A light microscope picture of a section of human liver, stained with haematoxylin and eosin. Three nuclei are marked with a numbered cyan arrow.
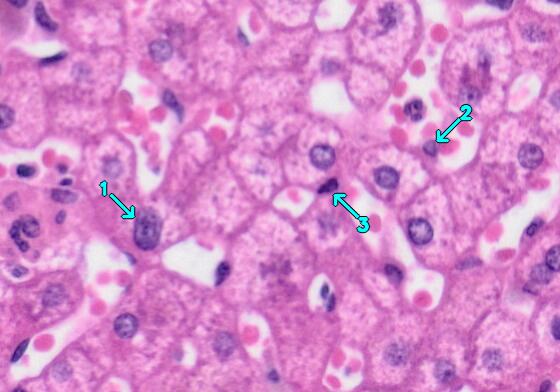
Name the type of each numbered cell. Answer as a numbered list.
1. hepatocyte
2. Kupffer cell
3. fibroblast or stellate cell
